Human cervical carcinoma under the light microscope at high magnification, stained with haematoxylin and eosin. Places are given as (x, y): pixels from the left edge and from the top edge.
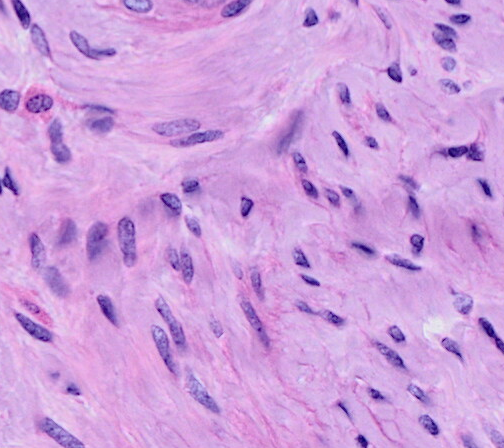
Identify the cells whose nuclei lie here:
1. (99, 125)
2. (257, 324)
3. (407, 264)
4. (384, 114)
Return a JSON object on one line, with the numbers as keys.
{"1": "fibroblast", "2": "smooth muscle cell", "3": "fibroblast", "4": "smooth muscle cell"}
